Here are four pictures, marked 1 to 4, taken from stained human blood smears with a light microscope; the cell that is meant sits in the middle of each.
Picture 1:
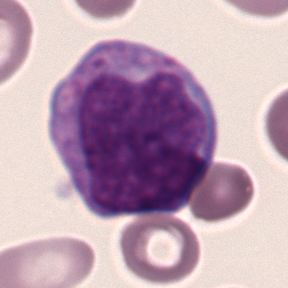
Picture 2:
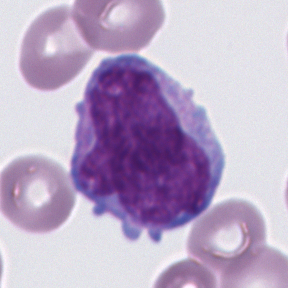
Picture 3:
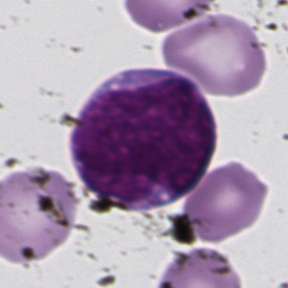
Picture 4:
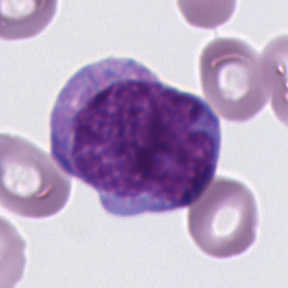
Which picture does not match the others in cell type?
3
